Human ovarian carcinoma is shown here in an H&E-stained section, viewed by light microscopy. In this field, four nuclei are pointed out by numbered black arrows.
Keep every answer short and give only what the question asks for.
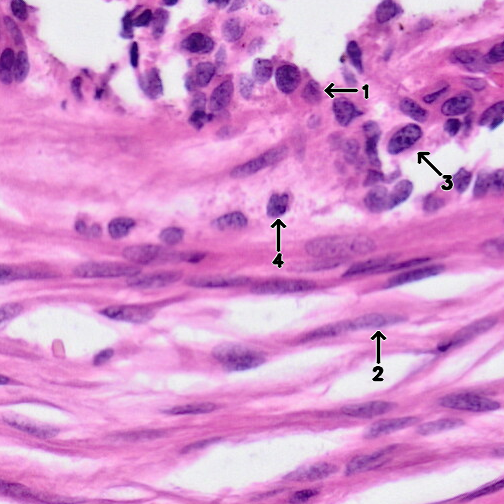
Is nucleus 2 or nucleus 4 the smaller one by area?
4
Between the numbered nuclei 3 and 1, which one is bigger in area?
3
